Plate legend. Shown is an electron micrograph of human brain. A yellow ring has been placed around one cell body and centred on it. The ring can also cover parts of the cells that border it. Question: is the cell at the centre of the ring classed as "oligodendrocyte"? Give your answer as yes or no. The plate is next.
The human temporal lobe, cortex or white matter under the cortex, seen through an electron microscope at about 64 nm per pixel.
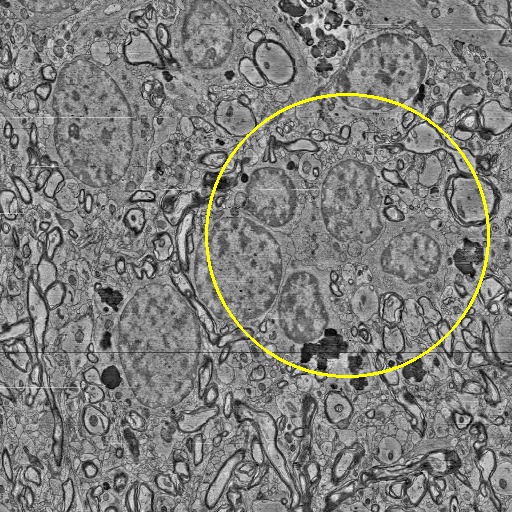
Yes, the ringed cell is of that kind.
